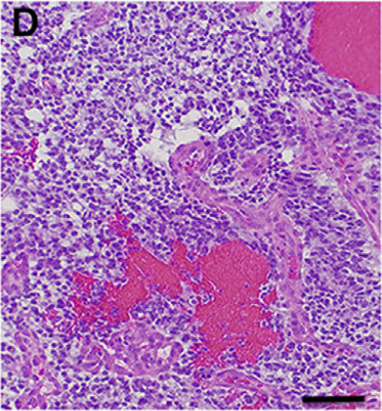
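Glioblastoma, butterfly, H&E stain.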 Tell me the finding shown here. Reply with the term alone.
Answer: Marked hypercellularity.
